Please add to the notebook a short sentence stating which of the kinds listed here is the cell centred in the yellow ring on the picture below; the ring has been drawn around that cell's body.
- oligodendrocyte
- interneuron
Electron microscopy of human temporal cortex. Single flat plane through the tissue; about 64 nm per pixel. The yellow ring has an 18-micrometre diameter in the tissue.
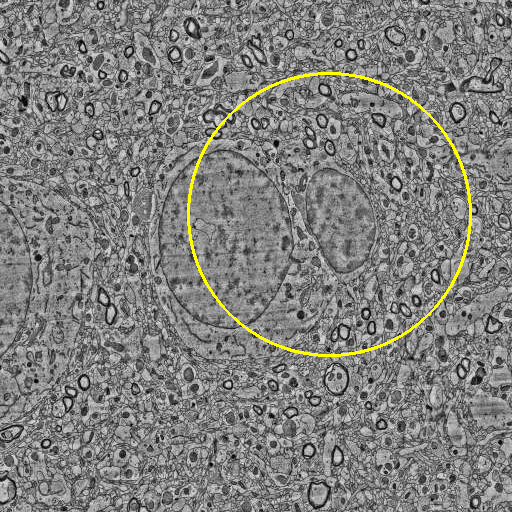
The cell centred in the yellow ring is an oligodendrocyte.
